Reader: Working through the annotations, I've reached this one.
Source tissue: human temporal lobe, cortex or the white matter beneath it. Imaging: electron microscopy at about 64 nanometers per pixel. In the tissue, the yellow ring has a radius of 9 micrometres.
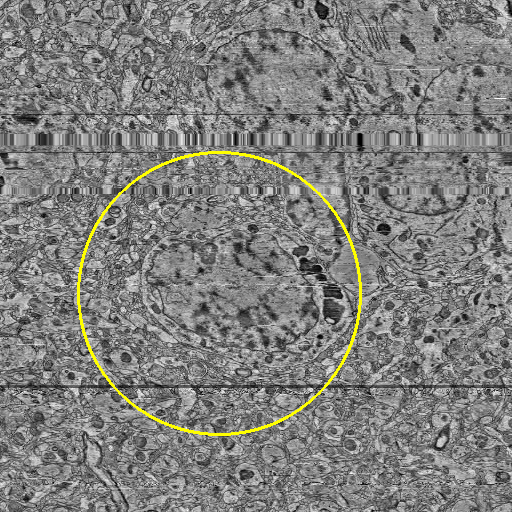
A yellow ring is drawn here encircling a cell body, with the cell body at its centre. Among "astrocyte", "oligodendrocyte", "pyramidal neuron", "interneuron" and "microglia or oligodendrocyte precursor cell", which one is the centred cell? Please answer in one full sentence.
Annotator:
The cell body at the centre of the yellow ring in this image belongs to an interneuron.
